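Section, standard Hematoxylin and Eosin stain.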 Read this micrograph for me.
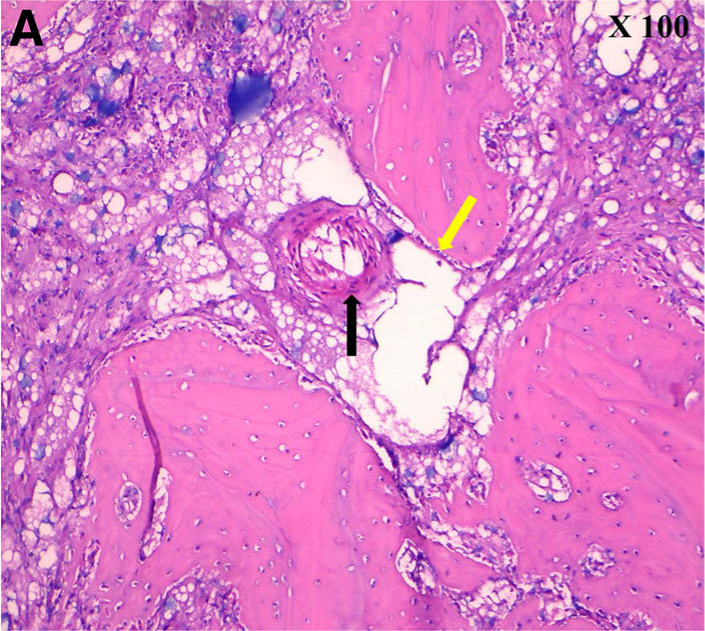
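Bone tissue with broad pink-staining trabeculae of bone matrix, in which many small osteocytes sit singly in lacunae scattered through the matrix. Between the trabeculae lie marrow spaces filled with loose, pale connective tissue and many clear, rounded, empty-looking fat cells of varying size, giving a bubbly appearance. Small rounded channels containing loose tissue are cut within the bone matrix. In the centre, a small round structure with concentric layers of pink, flattened cells surrounds a narrow lumen, lying in the loose tissue beside a larger clear space that abuts the edge of a trabecula.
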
